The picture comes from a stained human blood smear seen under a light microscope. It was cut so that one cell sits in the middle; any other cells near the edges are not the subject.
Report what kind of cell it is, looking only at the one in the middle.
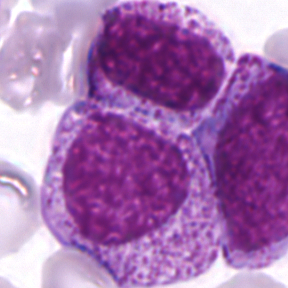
myelocyte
